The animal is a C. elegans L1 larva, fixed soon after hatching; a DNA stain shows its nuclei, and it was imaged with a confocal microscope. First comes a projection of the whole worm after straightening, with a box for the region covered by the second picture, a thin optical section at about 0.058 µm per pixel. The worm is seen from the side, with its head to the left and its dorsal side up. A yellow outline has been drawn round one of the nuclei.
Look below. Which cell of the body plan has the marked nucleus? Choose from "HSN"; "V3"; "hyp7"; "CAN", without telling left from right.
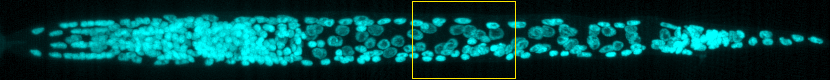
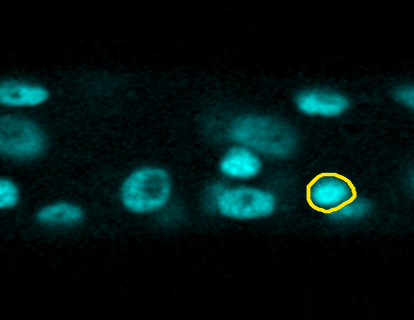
HSN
